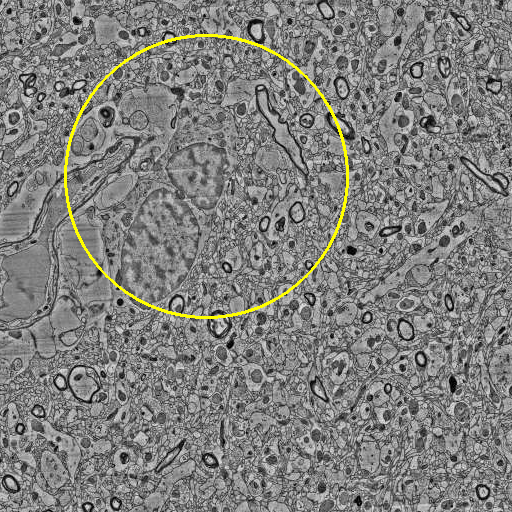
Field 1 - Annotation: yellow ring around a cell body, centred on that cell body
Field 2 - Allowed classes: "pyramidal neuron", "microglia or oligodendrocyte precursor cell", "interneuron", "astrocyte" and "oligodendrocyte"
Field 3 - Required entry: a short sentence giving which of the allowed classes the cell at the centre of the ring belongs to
The centred cell is an oligodendrocyte.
